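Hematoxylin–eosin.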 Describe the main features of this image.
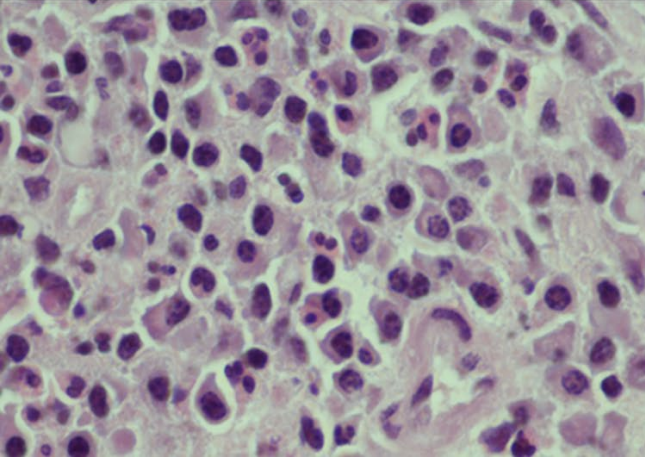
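At high magnification the field is packed with inflammatory cells, most of them plasma cells. Many have a round, dark nucleus pushed to one edge of an ample pale purple-pink cytoplasm, and some show coarsely clumped chromatin. Scattered among them are cells with pinker cytoplasm and more irregular nuclei. The cells lie loosely, with small clear spaces between them and no tissue architecture apparent. This is a dense inflammatory infiltrate rich in plasma cells.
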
